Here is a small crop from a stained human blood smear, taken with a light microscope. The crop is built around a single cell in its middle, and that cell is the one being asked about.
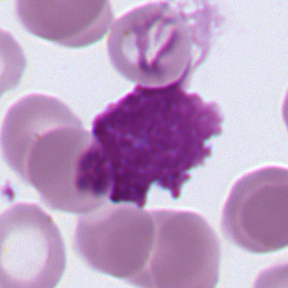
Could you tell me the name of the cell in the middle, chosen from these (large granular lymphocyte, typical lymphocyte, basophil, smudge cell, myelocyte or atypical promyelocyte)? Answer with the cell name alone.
smudge cell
